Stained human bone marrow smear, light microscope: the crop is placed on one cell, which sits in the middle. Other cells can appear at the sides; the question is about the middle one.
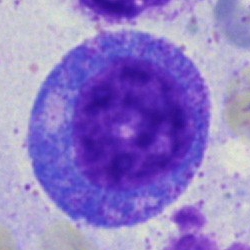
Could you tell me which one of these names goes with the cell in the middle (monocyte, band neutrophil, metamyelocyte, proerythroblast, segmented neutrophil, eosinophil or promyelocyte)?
promyelocyte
